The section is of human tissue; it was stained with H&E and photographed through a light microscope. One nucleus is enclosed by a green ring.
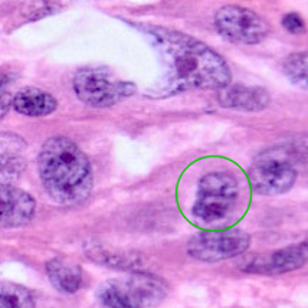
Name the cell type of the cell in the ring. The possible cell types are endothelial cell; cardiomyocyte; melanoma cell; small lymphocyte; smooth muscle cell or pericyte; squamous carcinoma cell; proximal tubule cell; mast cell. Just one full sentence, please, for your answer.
The identity of the cell in the ring: it is a melanoma cell.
